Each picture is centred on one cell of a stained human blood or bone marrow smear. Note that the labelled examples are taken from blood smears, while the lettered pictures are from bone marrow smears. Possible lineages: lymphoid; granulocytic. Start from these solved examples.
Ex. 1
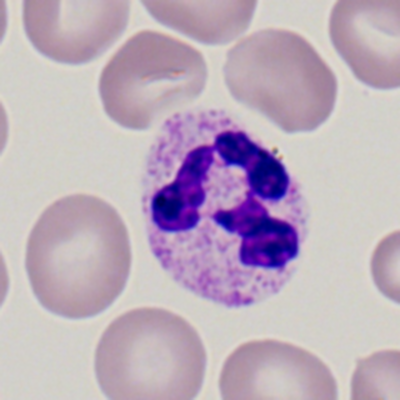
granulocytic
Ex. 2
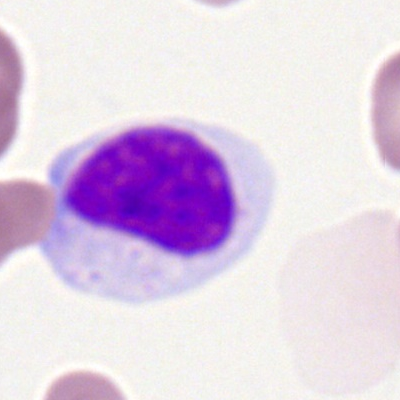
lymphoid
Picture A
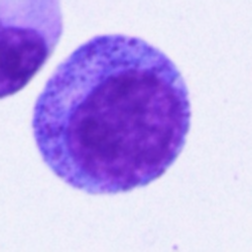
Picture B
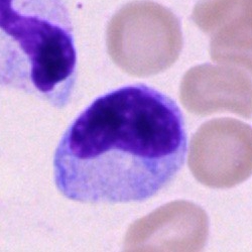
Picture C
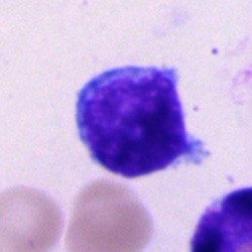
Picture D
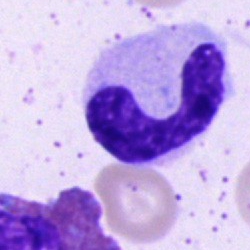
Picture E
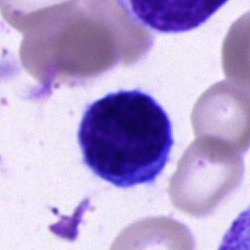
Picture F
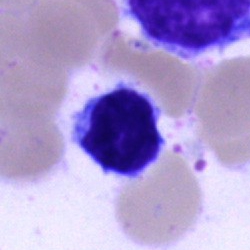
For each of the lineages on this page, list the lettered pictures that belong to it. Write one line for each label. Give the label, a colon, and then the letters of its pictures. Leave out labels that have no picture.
lymphoid: C, E, F
granulocytic: A, B, D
